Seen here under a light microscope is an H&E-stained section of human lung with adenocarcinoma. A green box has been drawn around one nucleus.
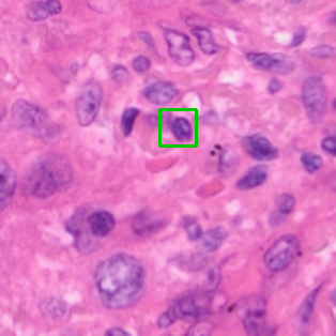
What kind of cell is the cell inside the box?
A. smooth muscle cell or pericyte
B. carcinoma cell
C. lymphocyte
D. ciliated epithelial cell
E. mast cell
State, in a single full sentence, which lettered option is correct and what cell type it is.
Option C is the right choice, for the cell inside the box is a lymphocyte.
